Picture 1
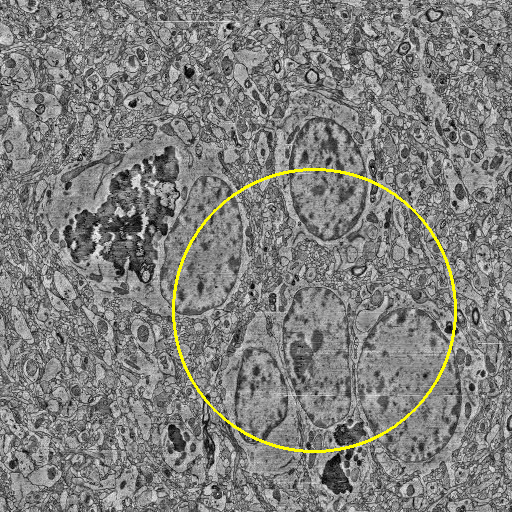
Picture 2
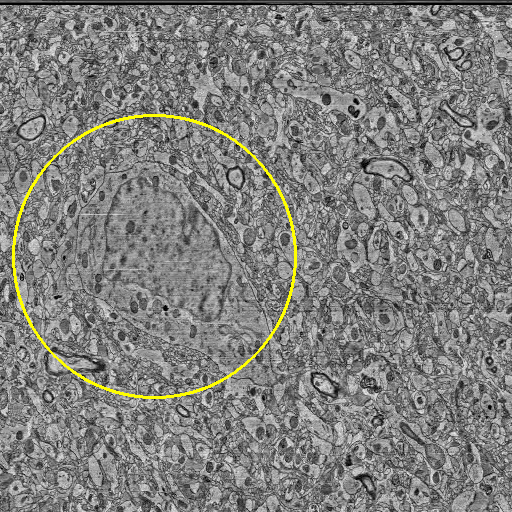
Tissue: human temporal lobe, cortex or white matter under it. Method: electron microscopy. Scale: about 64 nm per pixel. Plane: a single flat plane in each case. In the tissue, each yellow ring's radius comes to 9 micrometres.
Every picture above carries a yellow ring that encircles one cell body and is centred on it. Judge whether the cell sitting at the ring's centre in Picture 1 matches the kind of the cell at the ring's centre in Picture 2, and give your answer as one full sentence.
No, the cells centred in the rings of Pictures 1 and 2 belong to two kinds.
